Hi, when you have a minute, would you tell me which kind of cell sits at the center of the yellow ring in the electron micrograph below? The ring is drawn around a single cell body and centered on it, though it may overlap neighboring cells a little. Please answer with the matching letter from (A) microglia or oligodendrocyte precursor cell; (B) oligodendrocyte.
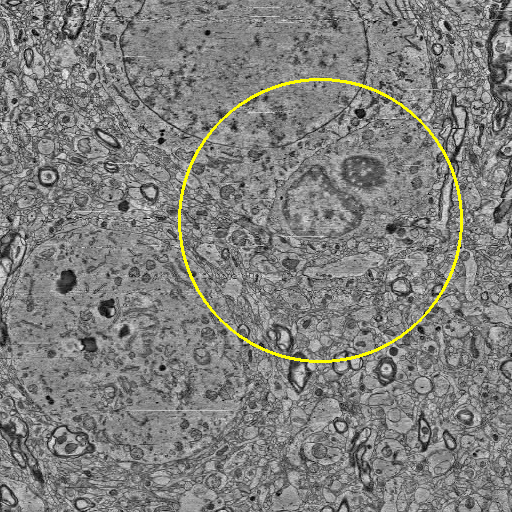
B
